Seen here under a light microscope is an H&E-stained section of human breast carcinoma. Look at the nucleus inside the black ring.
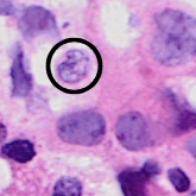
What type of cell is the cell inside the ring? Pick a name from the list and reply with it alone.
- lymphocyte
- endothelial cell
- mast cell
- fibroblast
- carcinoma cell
carcinoma cell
